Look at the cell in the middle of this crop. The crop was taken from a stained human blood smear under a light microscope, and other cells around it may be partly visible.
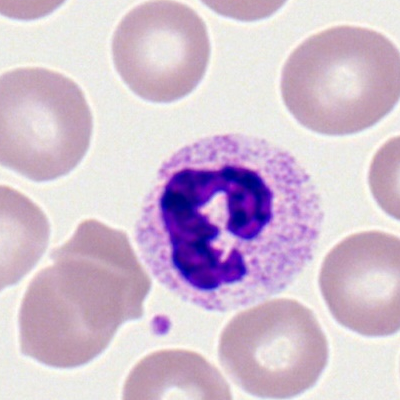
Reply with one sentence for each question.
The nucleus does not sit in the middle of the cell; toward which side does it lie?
The nucleus lies toward the left of the cell.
